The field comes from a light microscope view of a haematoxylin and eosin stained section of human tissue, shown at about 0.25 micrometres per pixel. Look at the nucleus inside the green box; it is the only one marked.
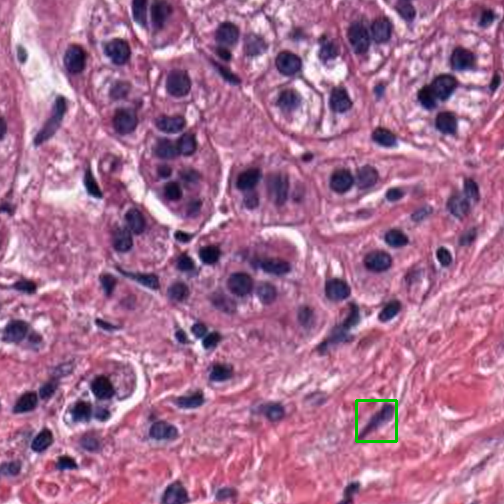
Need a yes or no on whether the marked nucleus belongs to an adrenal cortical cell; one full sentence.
No, it is not an adrenal cortical cell but a supporting cell to which the marked nucleus is assigned.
